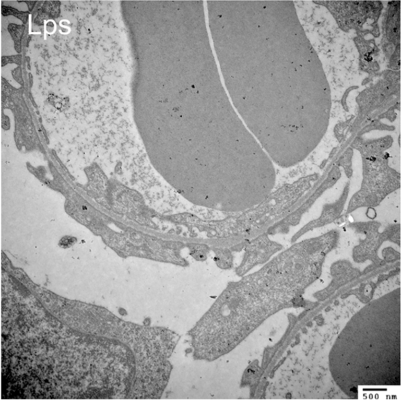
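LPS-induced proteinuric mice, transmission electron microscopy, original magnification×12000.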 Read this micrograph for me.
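A glomerular capillary loop containing red blood cells is bounded by its basement membrane. The podocyte covering on the outer side is largely flattened and continuous, with few distinct foot processes, showing foot process effacement.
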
